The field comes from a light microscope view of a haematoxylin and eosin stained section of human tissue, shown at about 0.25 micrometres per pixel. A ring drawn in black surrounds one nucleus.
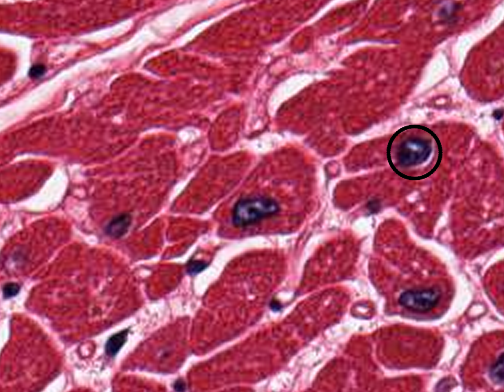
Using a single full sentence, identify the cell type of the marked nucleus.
Here it is a cardiomyocyte that the marked nucleus belongs to.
